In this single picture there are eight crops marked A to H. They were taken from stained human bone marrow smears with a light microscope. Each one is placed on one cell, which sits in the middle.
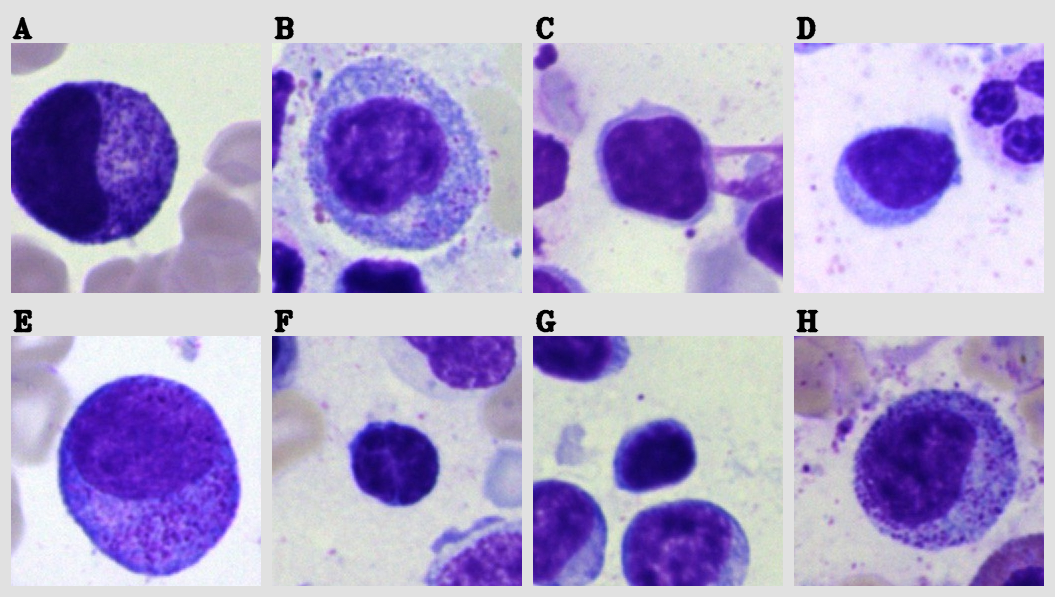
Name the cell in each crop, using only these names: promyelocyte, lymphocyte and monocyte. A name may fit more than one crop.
A: promyelocyte
B: promyelocyte
C: lymphocyte
D: lymphocyte
E: promyelocyte
F: lymphocyte
G: lymphocyte
H: promyelocyte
